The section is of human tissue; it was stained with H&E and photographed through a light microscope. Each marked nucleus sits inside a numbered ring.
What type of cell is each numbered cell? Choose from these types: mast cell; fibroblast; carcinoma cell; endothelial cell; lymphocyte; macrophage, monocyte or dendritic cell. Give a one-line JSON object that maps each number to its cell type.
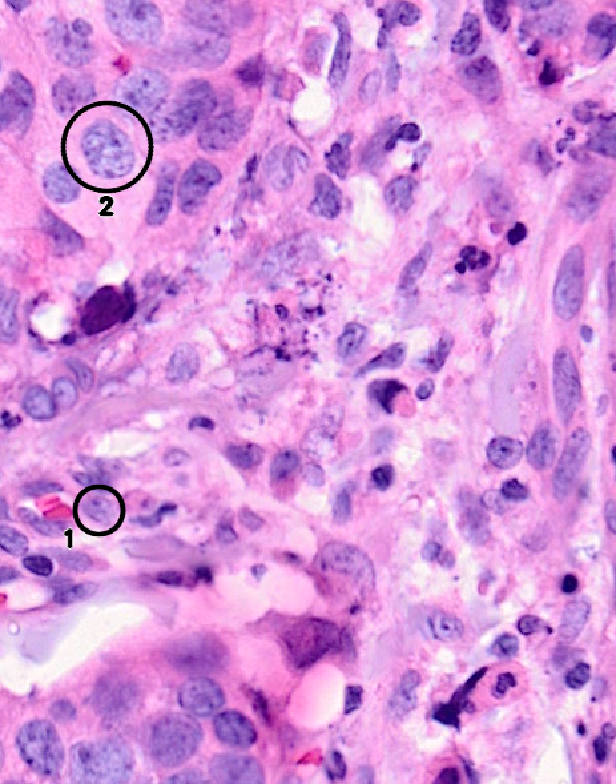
{"1": "endothelial cell", "2": "carcinoma cell"}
